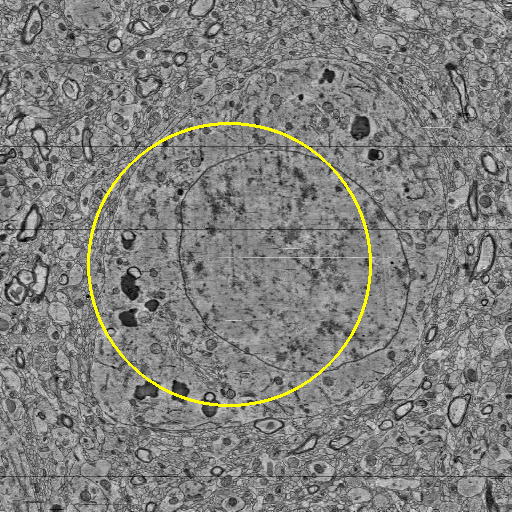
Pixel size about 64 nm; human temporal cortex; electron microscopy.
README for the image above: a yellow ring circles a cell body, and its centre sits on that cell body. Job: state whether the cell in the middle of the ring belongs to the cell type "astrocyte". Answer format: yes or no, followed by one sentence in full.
No, in the image, the ring's central cell belongs to another type.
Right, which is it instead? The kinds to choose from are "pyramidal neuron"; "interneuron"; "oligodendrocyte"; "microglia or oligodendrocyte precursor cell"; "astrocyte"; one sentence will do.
The cell this ring marks is a pyramidal neuron.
